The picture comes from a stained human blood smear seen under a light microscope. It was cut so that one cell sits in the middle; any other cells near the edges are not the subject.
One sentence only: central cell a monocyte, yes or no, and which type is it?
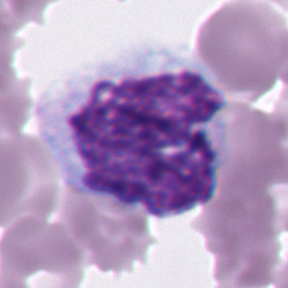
Yes, the cell lying in the centre of the crop is identified as a monocyte.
